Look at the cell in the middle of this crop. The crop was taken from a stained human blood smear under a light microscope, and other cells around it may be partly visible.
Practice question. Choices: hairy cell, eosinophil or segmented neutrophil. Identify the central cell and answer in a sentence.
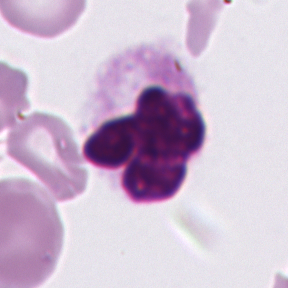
The cell under consideration, at the middle of the crop, is a segmented neutrophil.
